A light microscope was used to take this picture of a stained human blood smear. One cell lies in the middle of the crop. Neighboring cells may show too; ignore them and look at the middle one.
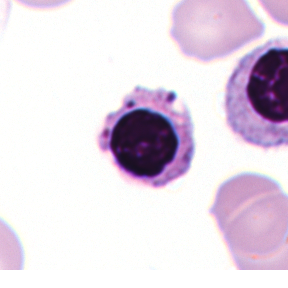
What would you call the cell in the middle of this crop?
normoblast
